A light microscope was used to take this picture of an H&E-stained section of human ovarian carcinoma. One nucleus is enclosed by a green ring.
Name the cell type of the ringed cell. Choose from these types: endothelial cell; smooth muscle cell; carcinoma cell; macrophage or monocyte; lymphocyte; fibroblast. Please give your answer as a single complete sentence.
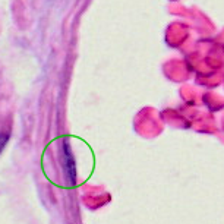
Recorded by type, the ringed cell is an endothelial cell.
